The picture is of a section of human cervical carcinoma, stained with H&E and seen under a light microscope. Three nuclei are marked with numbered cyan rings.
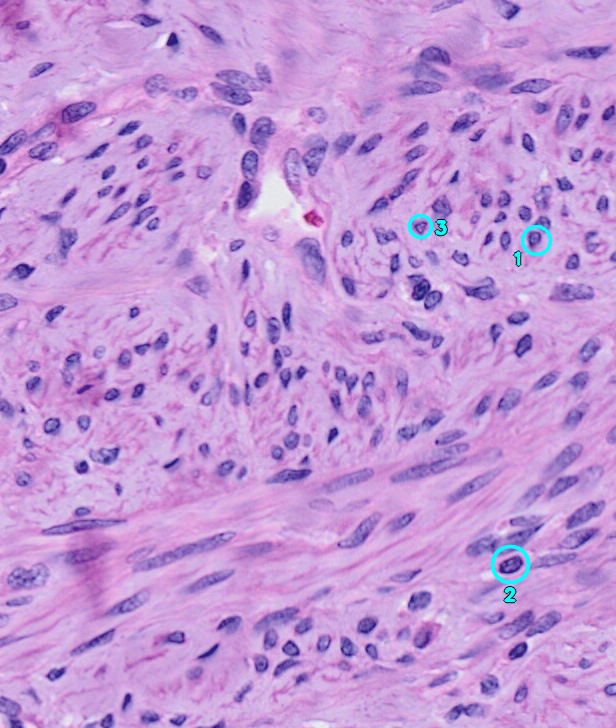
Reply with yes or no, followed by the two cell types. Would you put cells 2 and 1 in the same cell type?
No, cell 2 is a lymphocyte and cell 1 is a smooth muscle cell.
